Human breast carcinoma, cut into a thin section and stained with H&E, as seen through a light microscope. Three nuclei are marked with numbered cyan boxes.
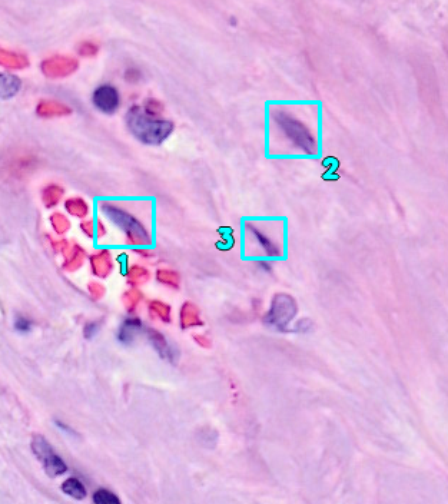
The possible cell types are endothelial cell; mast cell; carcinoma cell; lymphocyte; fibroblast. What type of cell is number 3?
fibroblast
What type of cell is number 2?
fibroblast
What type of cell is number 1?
endothelial cell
